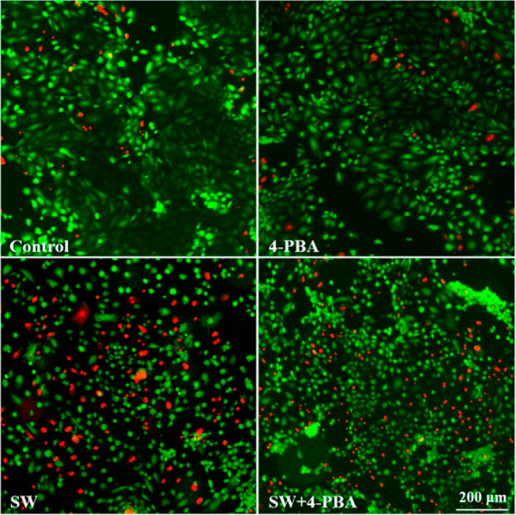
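In the upper two fields green cells cover most of the surface and red spots are few. In the lower-left field the green cells are more spread apart and many small red spots lie scattered among them. The lower-right field has dense green cells with a moderate number of red spots.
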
